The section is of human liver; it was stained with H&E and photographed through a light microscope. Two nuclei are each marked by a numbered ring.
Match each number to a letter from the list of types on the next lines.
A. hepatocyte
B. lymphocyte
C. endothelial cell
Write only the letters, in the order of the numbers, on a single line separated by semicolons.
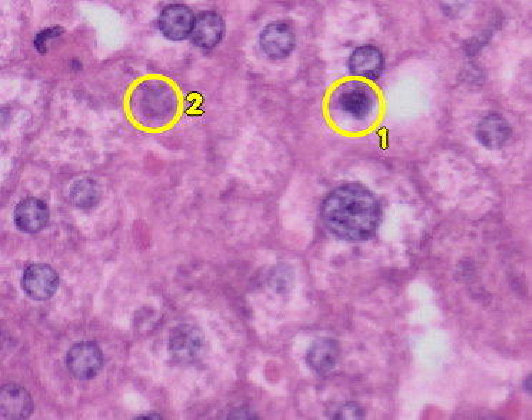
C; A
